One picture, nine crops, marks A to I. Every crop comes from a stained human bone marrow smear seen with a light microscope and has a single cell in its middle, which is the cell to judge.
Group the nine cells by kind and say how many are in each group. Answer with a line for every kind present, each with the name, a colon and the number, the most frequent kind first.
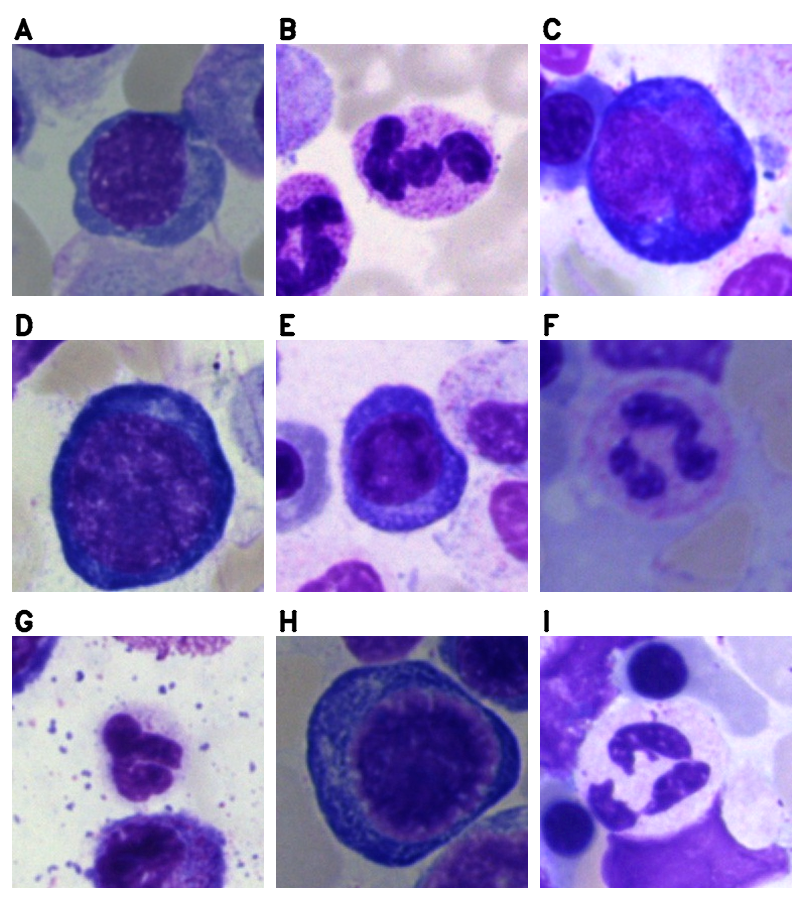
segmented neutrophil: 4
proerythroblast: 3
plasma cell: 2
